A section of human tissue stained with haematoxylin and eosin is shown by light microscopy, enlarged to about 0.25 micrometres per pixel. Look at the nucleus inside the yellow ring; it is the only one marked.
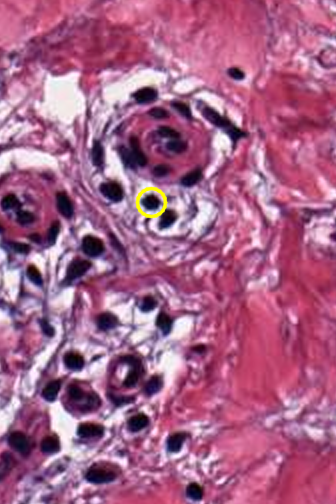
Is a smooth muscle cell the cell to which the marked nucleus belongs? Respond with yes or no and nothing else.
no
